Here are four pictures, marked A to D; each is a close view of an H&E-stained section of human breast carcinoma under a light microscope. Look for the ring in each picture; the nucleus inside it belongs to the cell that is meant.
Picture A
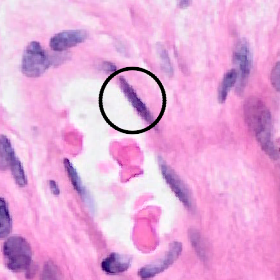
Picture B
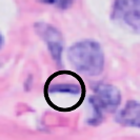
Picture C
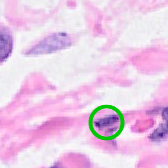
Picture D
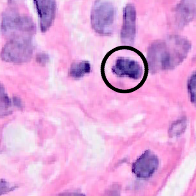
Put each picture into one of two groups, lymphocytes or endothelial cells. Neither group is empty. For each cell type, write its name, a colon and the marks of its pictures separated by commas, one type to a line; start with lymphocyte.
lymphocyte: D
endothelial cell: A, B, C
